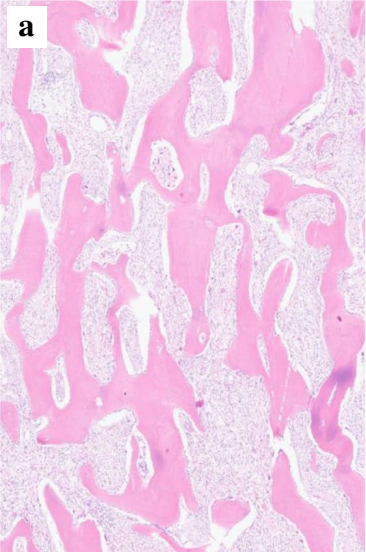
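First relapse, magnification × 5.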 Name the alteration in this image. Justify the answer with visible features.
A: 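New bone formation. Irregular, anastomosing pink trabeculae run through the panel. Pale, loosely cellular fibrous stroma fills the spaces between the trabeculae.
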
